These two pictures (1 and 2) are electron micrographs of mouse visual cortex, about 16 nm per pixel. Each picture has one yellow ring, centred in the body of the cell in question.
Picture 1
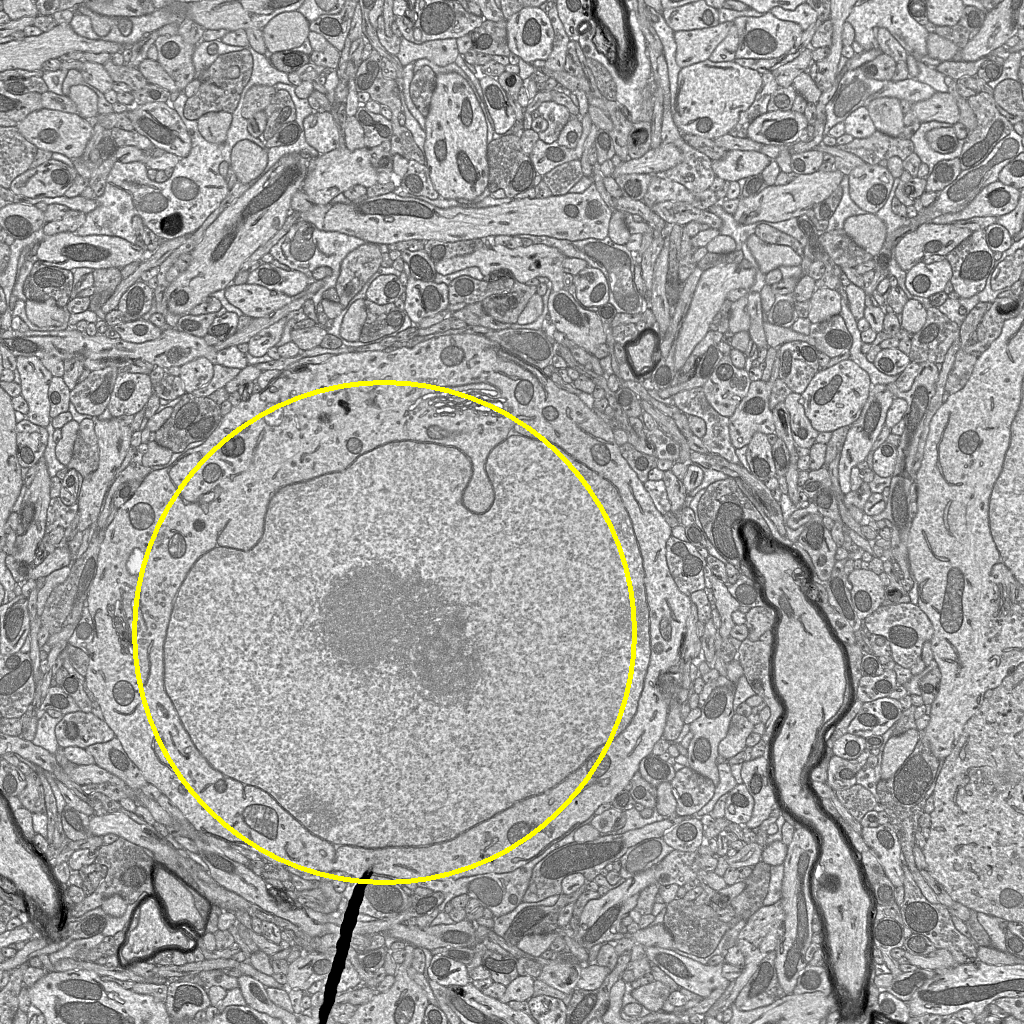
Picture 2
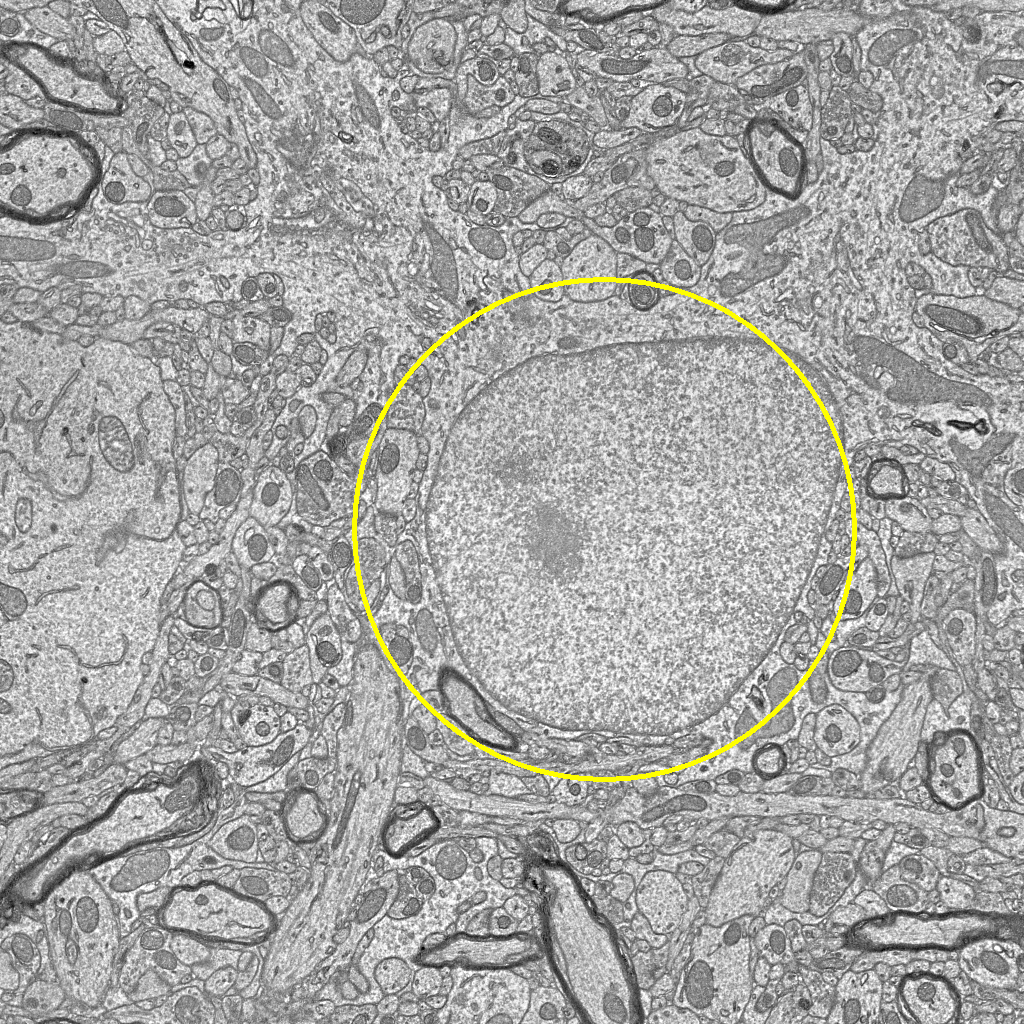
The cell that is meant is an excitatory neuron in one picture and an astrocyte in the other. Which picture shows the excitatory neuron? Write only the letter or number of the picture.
1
